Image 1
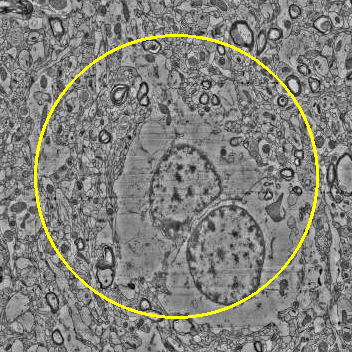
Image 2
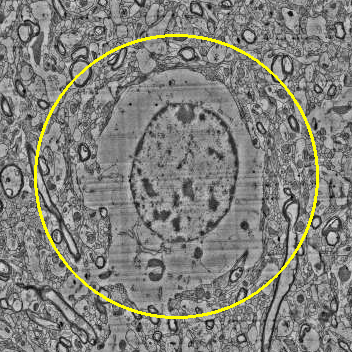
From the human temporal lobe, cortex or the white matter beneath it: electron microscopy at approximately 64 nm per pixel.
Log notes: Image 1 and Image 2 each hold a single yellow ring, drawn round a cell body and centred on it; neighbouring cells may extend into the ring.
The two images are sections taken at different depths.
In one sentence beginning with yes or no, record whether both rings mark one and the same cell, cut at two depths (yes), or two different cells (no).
No, the first ring and the second ring mark different cells.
